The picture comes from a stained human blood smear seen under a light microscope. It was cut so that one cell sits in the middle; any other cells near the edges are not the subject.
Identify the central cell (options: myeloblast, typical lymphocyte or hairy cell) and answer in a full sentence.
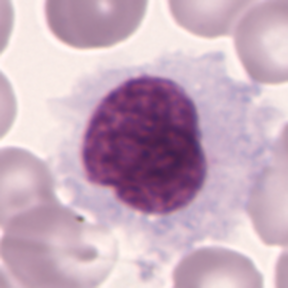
The centrally positioned cell in the crop represents a hairy cell.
